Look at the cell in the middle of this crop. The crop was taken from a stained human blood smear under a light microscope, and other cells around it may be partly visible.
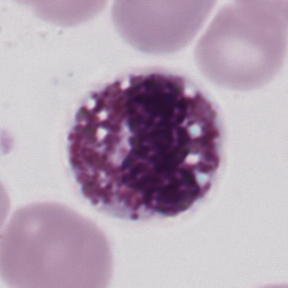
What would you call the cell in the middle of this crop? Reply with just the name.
eosinophil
